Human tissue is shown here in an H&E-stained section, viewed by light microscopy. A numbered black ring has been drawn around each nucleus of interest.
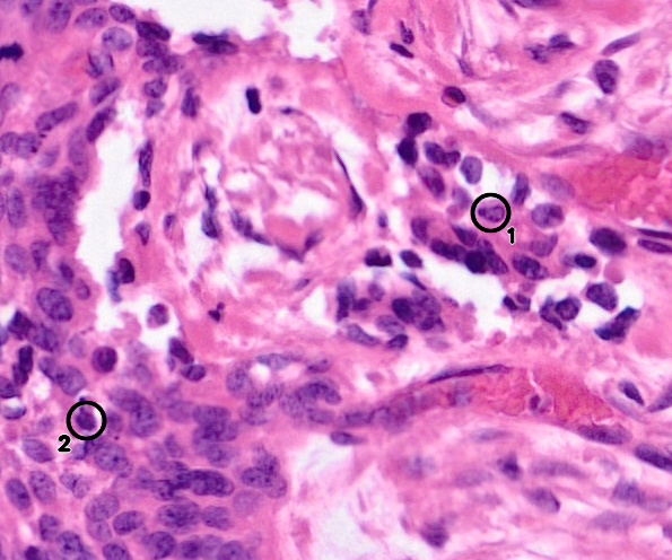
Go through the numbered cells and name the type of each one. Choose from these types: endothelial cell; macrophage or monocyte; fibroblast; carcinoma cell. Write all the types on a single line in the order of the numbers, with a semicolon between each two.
macrophage or monocyte; carcinoma cell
